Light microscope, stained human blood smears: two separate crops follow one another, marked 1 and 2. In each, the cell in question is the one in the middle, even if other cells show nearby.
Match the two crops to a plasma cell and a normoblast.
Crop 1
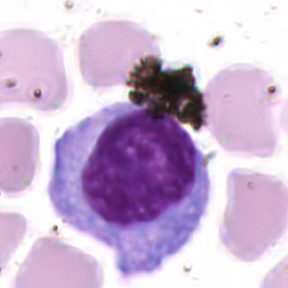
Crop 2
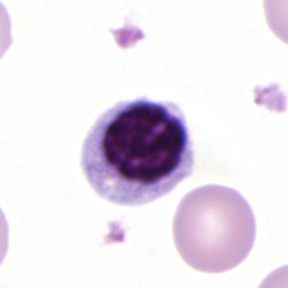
1: plasma cell
2: normoblast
